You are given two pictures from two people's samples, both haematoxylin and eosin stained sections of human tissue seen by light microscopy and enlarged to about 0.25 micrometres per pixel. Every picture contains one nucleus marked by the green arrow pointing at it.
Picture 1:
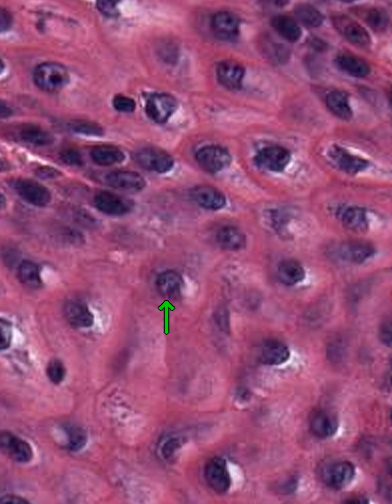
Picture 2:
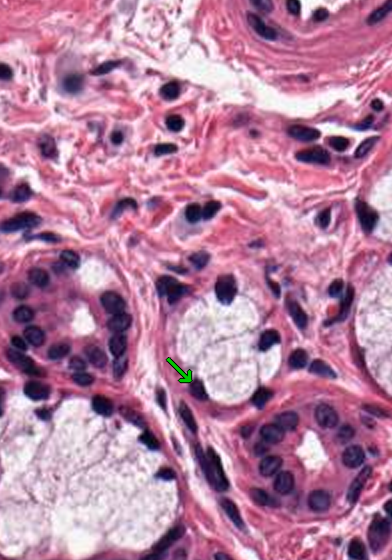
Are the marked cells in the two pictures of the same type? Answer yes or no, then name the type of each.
No, the first is a squamous epithelial cell and the second a mucous gland cell.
